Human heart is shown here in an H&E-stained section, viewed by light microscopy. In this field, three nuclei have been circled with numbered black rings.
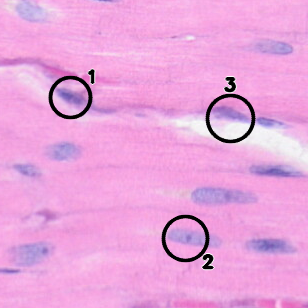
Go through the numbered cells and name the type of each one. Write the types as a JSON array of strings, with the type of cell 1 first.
["fibroblast", "cardiomyocyte", "fibroblast"]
